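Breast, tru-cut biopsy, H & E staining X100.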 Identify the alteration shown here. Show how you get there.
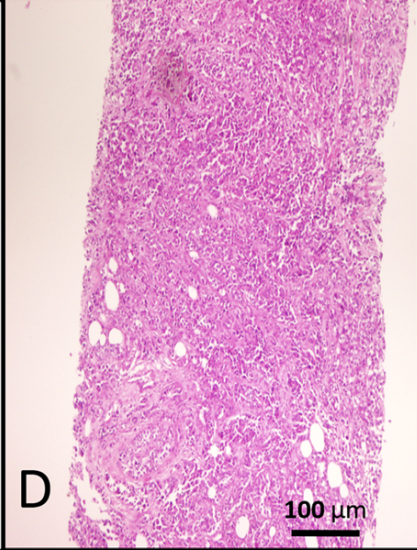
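Sheets of densely packed cells fill most of the core. Little stroma separates the cells. A few scattered fat vacuoles sit among the cells. So: high cellular tumor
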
